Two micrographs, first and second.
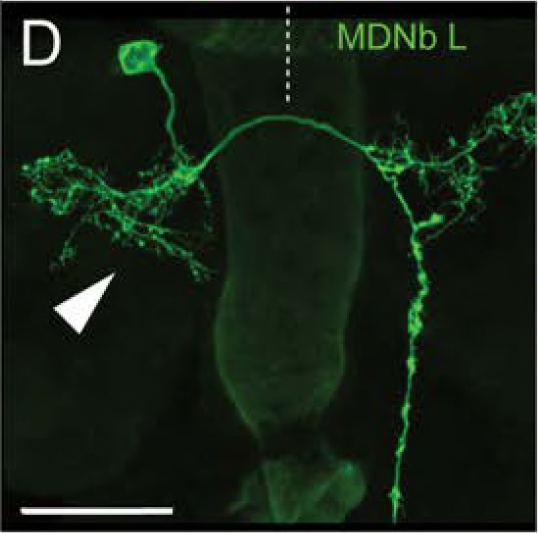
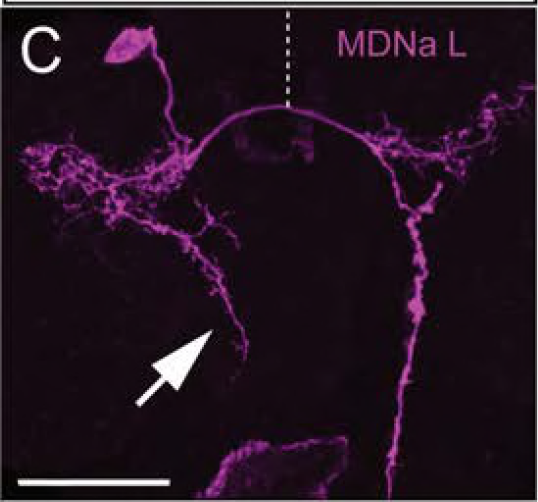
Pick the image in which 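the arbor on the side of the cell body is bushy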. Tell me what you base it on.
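The first image. First image: the branches on the cell-body side form a dense, highly ramified tuft.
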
